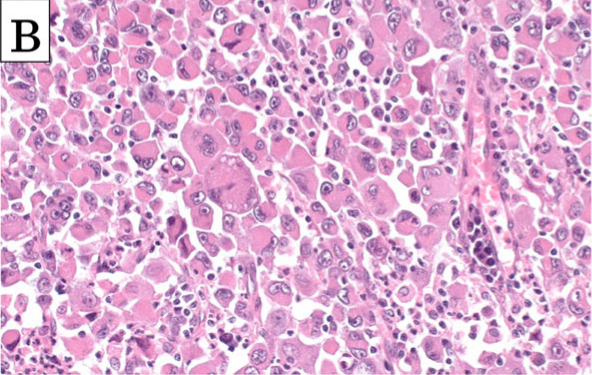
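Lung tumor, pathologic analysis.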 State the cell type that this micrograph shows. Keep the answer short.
atypical giant cells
